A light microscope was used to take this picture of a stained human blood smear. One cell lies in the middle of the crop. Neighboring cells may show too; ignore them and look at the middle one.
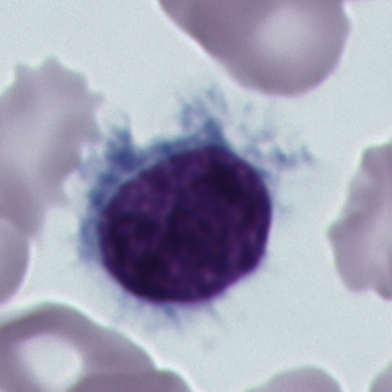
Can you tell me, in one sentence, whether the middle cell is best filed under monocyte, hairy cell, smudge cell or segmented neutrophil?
The cell at the centre of the field is a hairy cell.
